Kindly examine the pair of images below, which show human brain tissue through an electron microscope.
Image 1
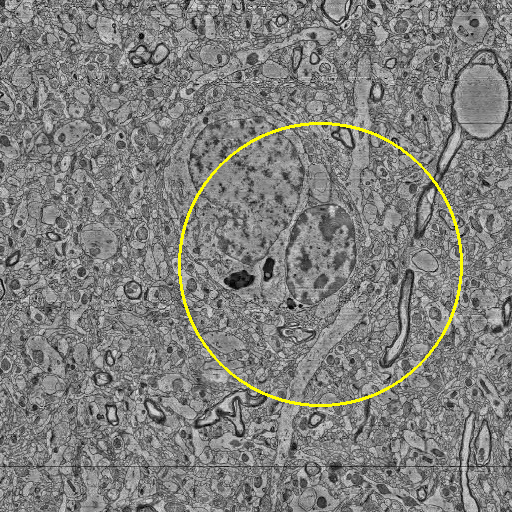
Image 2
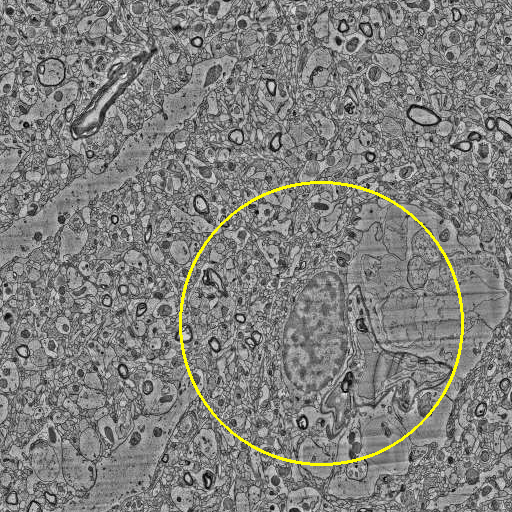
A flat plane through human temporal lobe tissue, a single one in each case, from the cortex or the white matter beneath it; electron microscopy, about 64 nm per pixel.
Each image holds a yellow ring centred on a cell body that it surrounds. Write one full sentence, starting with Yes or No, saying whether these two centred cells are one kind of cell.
No, the cells at the centres of the yellow rings belong to two kinds of cell.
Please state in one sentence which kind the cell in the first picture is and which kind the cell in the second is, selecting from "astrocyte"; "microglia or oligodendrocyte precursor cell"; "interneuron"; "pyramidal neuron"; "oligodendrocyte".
The first ringed cell is a microglial cell or oligodendrocyte precursor cell, the second ringed cell an oligodendrocyte.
